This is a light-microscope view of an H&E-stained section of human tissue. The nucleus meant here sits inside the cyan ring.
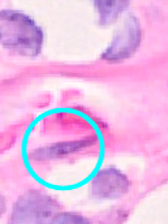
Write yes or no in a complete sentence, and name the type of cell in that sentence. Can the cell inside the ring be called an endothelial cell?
Yes, the cell inside the ring is properly called an endothelial cell in this section.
